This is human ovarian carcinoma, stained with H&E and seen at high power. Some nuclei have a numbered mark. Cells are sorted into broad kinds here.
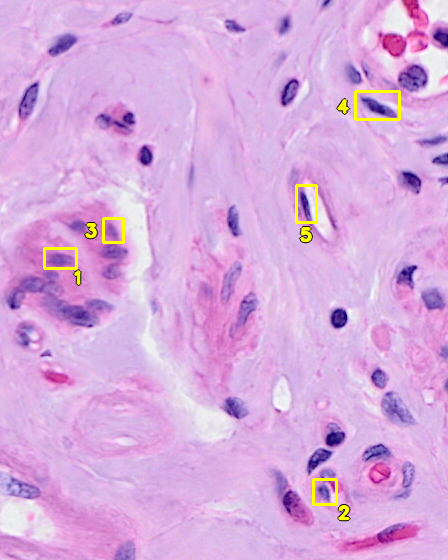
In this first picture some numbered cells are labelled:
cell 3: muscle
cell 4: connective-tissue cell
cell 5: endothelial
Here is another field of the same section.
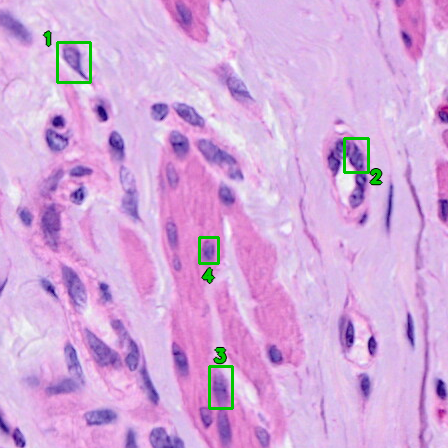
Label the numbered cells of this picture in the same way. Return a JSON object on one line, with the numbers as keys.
{"1": "connective-tissue cell", "2": "endothelial", "3": "muscle", "4": "muscle"}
